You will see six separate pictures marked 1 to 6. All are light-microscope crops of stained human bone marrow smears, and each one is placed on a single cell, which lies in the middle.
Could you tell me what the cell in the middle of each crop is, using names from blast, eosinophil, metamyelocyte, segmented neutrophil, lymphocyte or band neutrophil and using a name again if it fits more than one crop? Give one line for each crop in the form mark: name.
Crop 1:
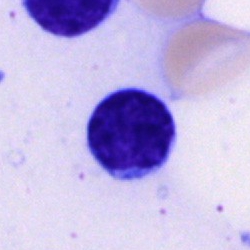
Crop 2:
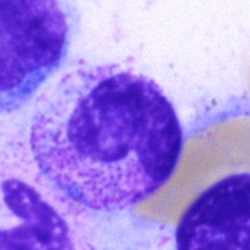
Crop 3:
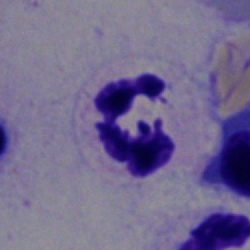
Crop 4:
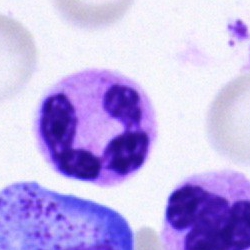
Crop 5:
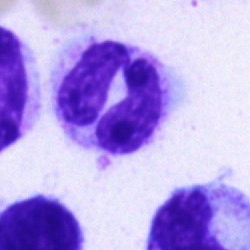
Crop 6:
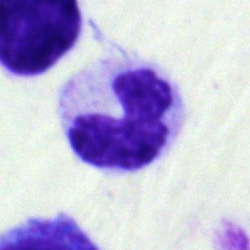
1: lymphocyte
2: metamyelocyte
3: segmented neutrophil
4: segmented neutrophil
5: segmented neutrophil
6: band neutrophil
